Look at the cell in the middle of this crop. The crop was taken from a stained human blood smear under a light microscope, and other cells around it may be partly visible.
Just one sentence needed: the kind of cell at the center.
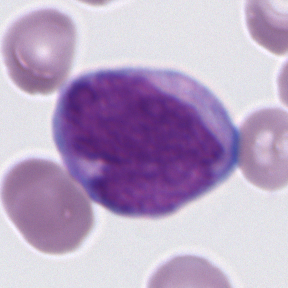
As for the cell in the middle, it is an atypical promyelocyte.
